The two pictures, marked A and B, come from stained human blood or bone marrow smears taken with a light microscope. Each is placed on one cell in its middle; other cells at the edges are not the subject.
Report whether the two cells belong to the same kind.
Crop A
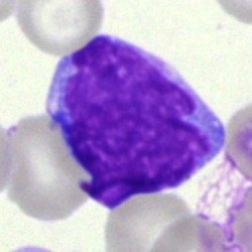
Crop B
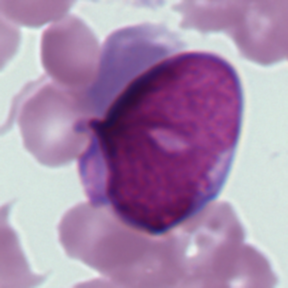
yes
